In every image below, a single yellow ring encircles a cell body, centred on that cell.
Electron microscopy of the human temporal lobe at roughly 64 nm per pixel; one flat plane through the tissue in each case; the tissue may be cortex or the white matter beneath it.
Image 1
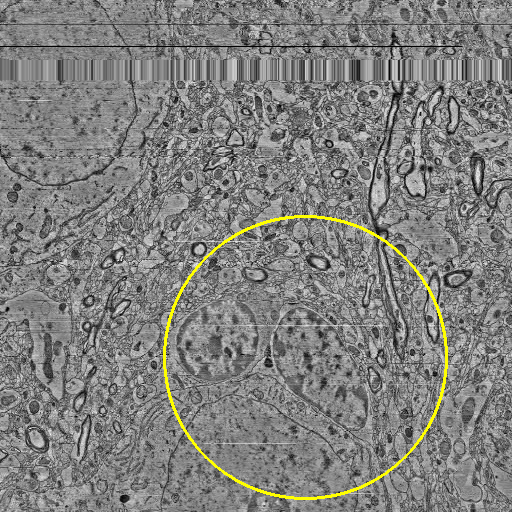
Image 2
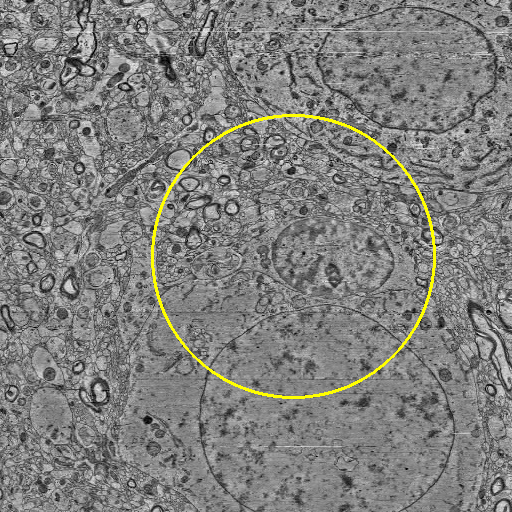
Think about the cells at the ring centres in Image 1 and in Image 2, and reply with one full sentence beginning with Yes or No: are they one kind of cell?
No, the cells centred in the rings of Image 1 and Image 2 are two kinds of cell.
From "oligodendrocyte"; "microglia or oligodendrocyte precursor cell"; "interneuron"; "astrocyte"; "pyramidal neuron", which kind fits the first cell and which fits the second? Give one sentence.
The cell marked in the first picture is a microglial cell or oligodendrocyte precursor cell, and the one marked in the second is an oligodendrocyte.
